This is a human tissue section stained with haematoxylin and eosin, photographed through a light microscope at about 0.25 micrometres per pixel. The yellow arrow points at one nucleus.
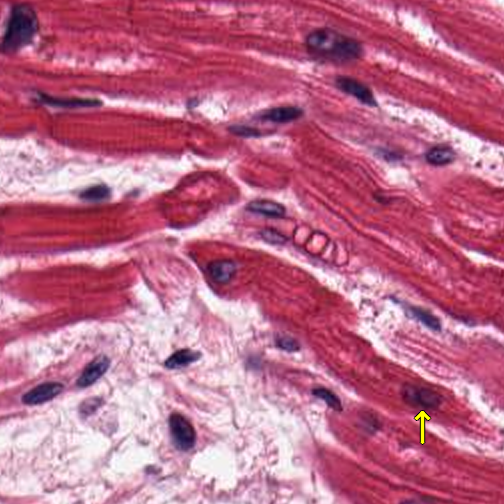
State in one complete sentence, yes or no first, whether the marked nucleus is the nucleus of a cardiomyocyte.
Yes, in the picture the marked nucleus belongs to a cardiomyocyte.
